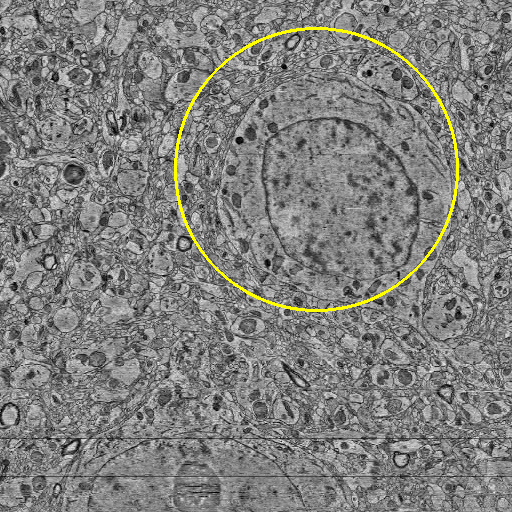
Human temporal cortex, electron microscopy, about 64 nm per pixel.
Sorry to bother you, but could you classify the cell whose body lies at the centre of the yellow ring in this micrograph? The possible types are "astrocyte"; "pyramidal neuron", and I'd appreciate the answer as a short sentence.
The ringed cell body is that of a pyramidal neuron.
